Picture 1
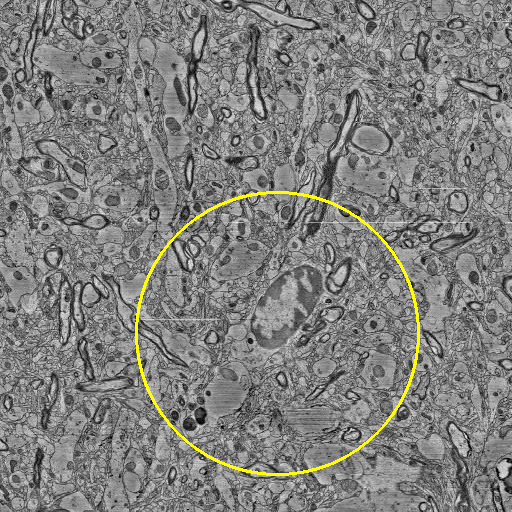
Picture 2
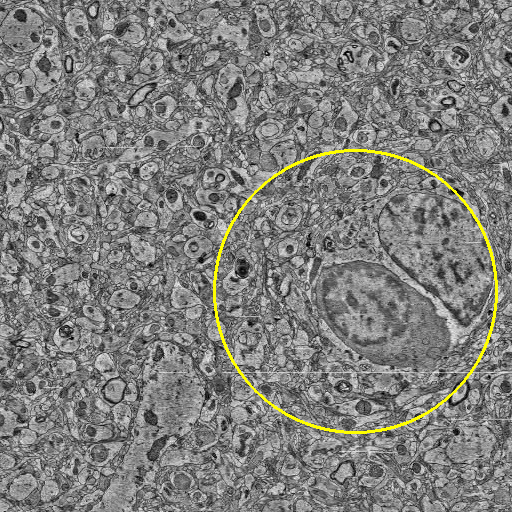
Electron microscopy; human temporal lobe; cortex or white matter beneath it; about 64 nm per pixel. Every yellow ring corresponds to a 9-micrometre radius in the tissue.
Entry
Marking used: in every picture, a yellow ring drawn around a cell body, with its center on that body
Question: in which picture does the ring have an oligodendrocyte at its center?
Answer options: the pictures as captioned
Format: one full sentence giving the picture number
Picture 2 is where the ring's center falls on the requested cell.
